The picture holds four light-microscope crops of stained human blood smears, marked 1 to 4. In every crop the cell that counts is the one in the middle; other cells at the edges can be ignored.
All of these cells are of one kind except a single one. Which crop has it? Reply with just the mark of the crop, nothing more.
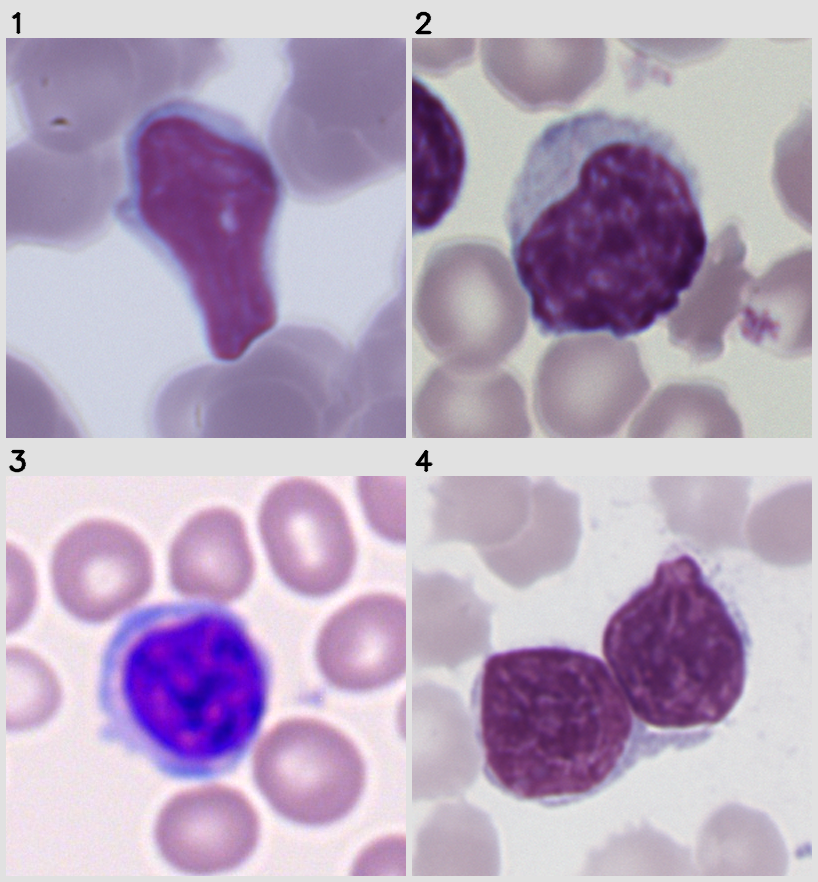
4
